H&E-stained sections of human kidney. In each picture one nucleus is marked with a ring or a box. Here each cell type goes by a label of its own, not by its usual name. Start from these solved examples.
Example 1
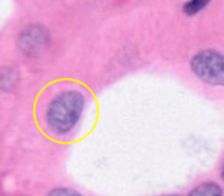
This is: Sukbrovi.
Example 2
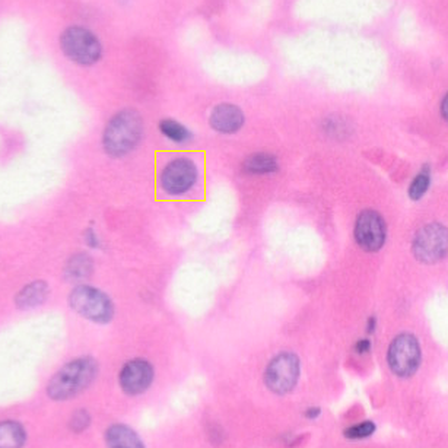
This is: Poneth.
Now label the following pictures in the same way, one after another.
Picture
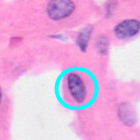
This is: Sukbrovi.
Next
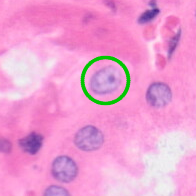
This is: Poneth.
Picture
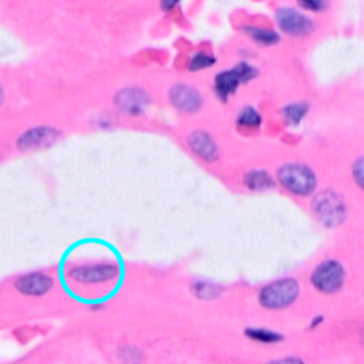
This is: Sukbrovi.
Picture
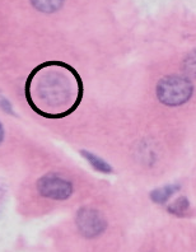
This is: Poneth.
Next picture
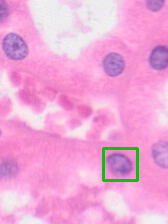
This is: Poneth.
